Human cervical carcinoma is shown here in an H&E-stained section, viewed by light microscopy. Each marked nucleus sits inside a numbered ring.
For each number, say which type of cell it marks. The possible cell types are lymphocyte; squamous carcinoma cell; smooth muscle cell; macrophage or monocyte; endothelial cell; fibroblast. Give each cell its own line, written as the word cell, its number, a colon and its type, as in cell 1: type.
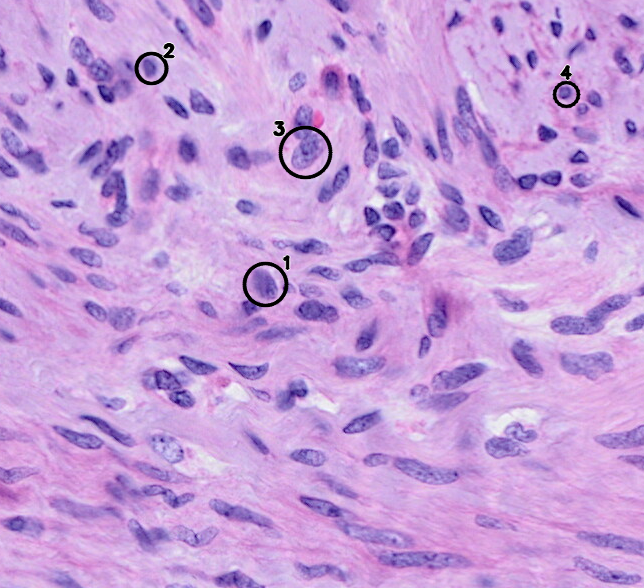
cell 1: fibroblast
cell 2: fibroblast
cell 3: endothelial cell
cell 4: smooth muscle cell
